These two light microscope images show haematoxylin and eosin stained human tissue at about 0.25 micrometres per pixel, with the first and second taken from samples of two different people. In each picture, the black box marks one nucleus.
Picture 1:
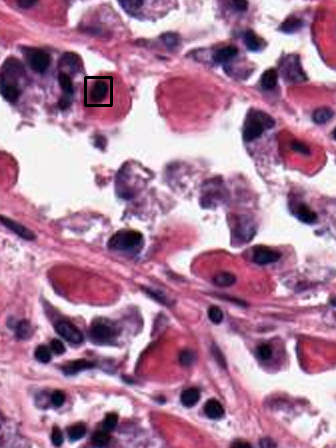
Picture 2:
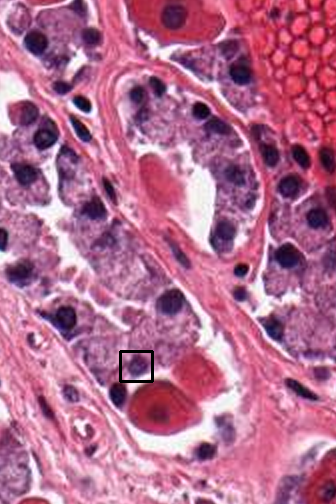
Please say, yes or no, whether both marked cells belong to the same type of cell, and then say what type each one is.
No, the first is a parietal cell and the second a chief cell.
